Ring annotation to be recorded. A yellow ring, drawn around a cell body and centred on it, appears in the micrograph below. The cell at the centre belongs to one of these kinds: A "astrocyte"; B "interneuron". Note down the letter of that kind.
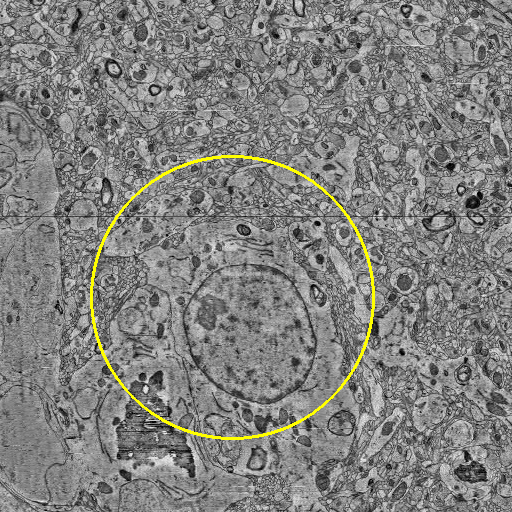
A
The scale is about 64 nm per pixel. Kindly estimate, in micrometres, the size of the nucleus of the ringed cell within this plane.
The nucleus works out at approximately 9 by 8 micrometres in this plane.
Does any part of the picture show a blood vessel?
Yes, a blood vessel shows in the picture.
